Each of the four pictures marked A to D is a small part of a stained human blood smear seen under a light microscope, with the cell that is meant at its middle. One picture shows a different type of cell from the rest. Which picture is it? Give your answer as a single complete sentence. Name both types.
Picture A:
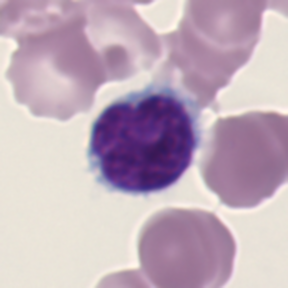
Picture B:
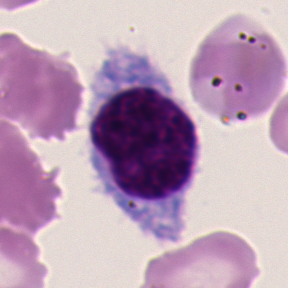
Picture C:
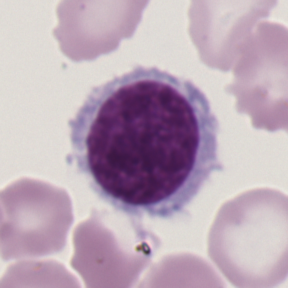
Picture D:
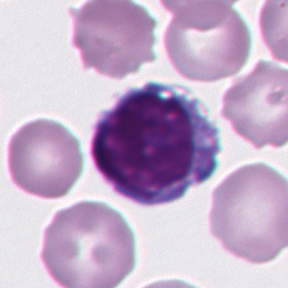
The others show hairy cells, but picture D shows a typical lymphocyte.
